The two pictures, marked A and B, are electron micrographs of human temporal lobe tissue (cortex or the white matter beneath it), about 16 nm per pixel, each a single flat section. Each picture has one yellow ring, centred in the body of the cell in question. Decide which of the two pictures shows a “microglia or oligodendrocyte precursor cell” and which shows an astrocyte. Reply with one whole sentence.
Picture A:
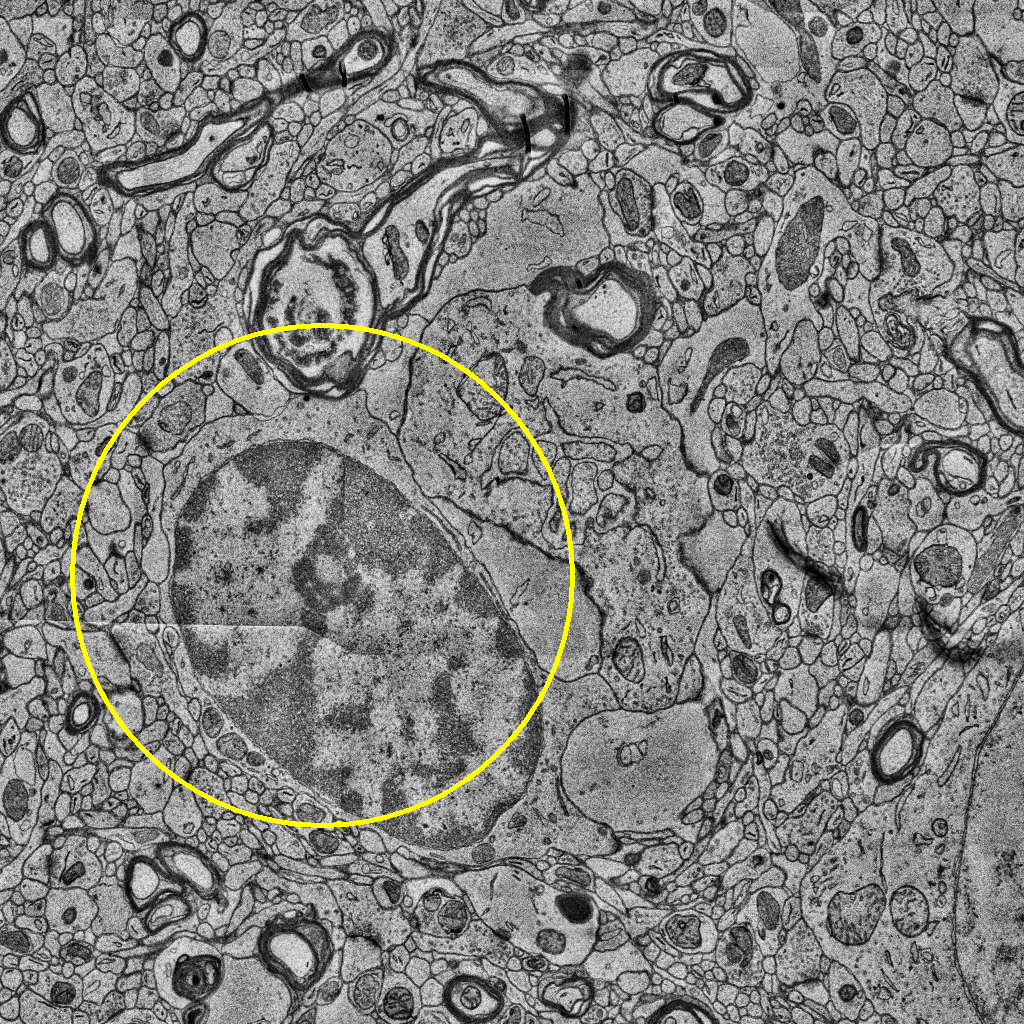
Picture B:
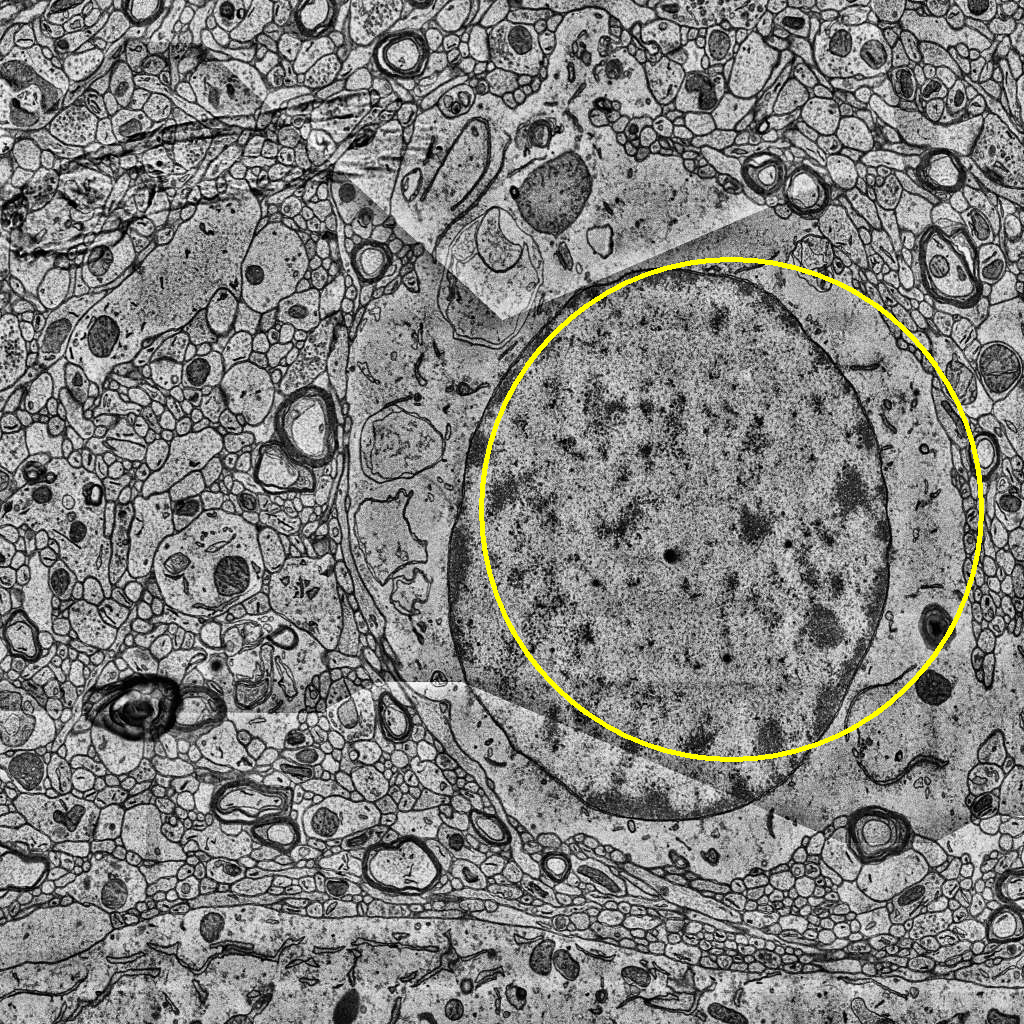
It is picture A that shows a “microglia or oligodendrocyte precursor cell”, and picture B that shows an astrocyte.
